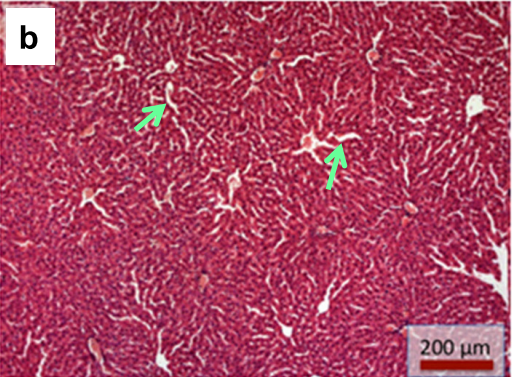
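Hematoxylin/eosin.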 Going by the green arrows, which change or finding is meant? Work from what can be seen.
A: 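Widened pale channels radiate between the plates of liver cells. The arrows point at broad white spaces branching around a vessel.
Sinusoidal dilatation.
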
